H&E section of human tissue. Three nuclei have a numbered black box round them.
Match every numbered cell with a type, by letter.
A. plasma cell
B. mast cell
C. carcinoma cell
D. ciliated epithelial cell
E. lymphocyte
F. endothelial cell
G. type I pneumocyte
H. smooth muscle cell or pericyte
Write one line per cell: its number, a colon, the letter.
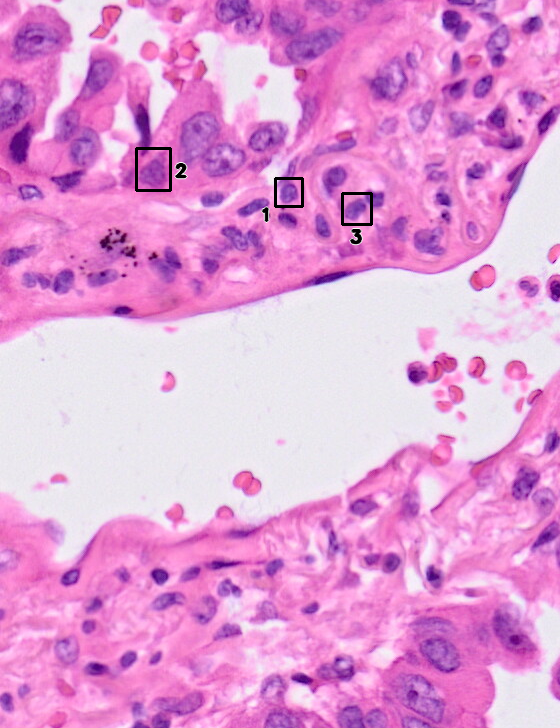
1: E
2: C
3: E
